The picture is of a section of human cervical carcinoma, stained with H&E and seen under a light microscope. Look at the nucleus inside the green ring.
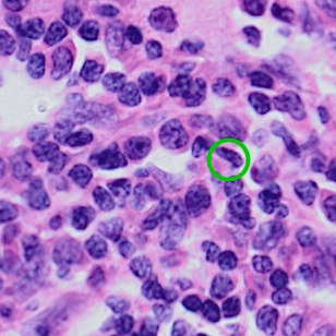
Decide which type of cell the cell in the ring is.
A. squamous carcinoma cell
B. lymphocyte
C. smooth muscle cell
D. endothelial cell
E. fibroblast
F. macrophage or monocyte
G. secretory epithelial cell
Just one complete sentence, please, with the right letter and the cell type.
Under option B, the cell in the ring is a lymphocyte, which is the correct identification.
